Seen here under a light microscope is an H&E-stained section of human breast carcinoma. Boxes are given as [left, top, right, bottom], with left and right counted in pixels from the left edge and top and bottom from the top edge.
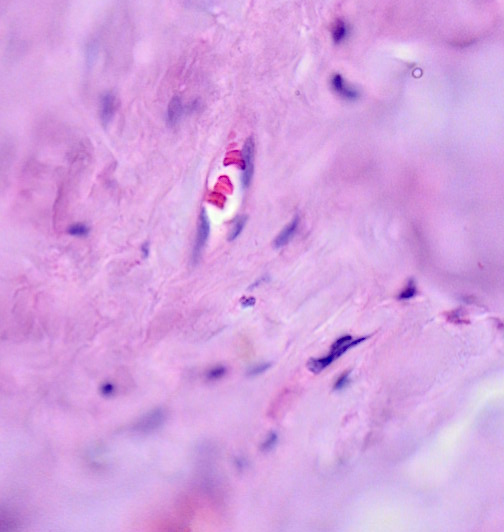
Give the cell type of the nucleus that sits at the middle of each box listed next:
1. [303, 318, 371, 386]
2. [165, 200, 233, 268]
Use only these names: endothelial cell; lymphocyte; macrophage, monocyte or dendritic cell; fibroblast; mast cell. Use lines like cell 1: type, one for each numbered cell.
cell 1: fibroblast
cell 2: endothelial cell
